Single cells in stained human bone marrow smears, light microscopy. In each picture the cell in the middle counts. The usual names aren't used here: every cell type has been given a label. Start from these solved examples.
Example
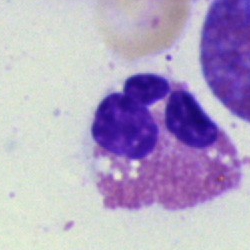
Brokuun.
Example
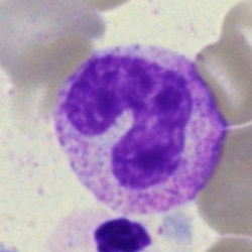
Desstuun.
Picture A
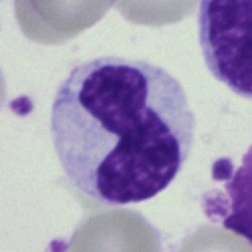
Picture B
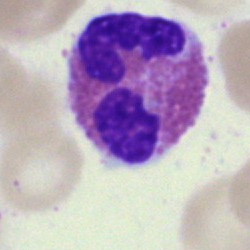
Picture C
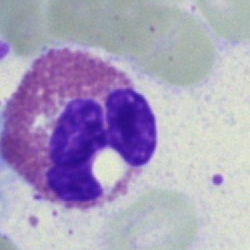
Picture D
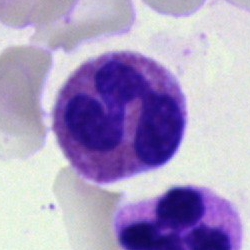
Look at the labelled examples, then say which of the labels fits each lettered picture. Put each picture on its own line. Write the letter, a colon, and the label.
A: Desstuun.
B: Brokuun.
C: Brokuun.
D: Brokuun.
